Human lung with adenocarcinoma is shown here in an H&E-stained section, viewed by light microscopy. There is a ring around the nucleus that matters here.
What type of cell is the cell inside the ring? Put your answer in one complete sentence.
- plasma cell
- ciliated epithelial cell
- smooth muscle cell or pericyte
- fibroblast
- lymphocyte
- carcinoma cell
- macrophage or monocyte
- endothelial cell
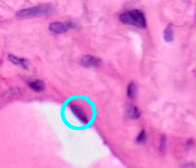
Just put down that the cell inside the ring is an endothelial cell.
